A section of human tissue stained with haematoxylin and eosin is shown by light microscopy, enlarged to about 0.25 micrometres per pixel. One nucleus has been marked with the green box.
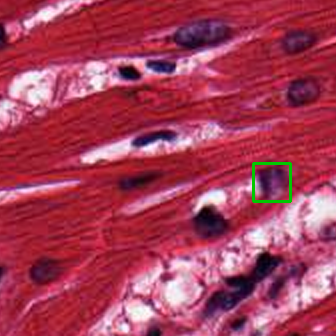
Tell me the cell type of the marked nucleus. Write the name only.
cardiomyocyte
